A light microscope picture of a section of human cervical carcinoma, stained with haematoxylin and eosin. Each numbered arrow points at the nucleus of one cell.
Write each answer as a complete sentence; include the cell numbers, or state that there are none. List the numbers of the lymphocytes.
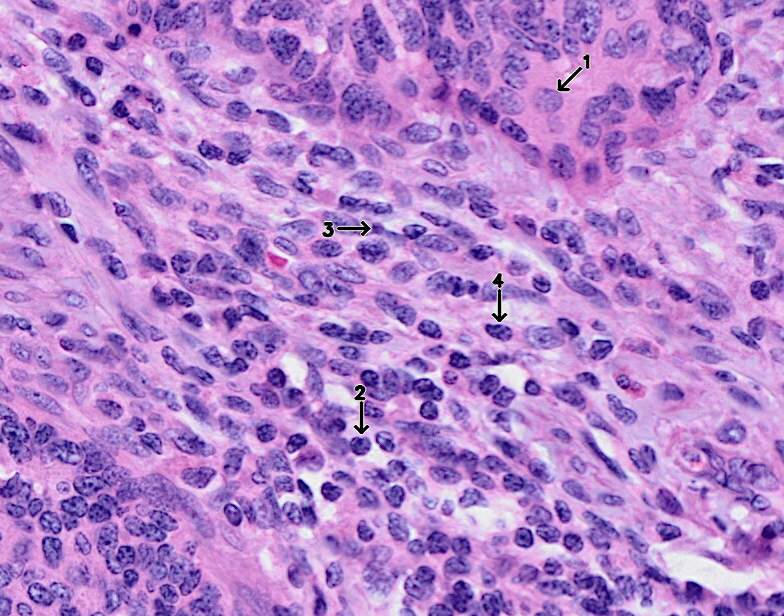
The cells marked 2, 3 and 4 in the section are lymphocytes.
